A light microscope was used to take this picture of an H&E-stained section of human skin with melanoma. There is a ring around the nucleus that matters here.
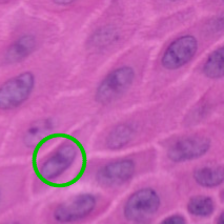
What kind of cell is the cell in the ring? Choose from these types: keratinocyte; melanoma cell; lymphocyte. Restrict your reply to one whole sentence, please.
The cell type represented by the cell in the ring is that of a keratinocyte.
